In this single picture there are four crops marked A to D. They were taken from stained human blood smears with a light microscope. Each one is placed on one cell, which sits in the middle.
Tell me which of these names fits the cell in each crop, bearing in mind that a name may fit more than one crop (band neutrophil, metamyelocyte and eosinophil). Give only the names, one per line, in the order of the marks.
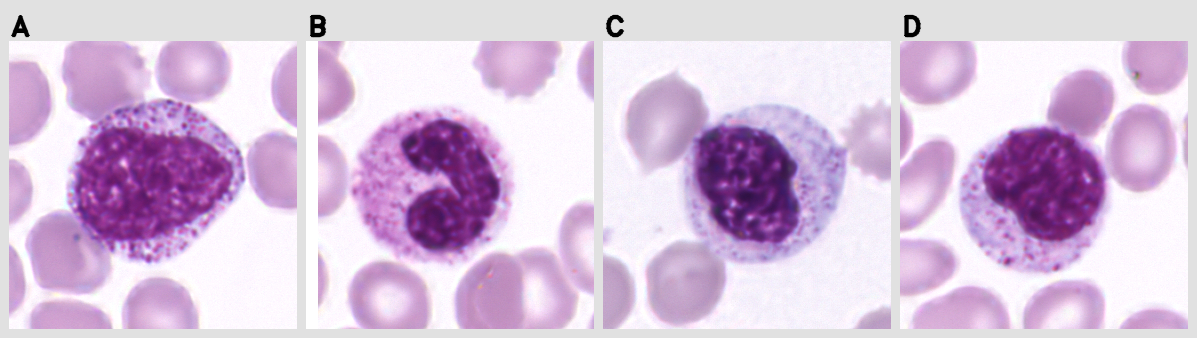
metamyelocyte
band neutrophil
metamyelocyte
metamyelocyte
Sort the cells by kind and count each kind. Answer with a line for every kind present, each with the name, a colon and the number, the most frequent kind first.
metamyelocyte: 3
band neutrophil: 1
